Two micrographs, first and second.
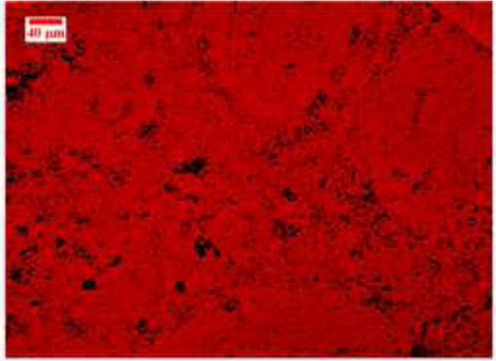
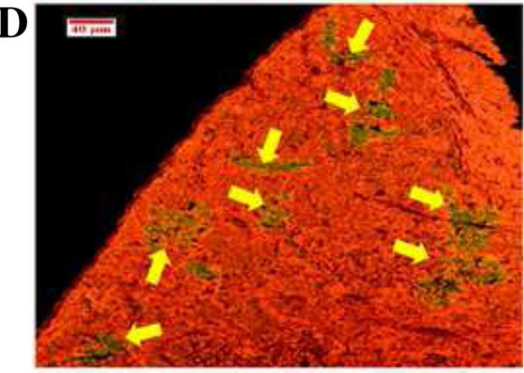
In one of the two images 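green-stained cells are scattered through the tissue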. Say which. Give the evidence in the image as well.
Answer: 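The second image. Second image: several green patches lie within the orange-red tissue. First image: the tissue is uniformly red with dark gaps and no green.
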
